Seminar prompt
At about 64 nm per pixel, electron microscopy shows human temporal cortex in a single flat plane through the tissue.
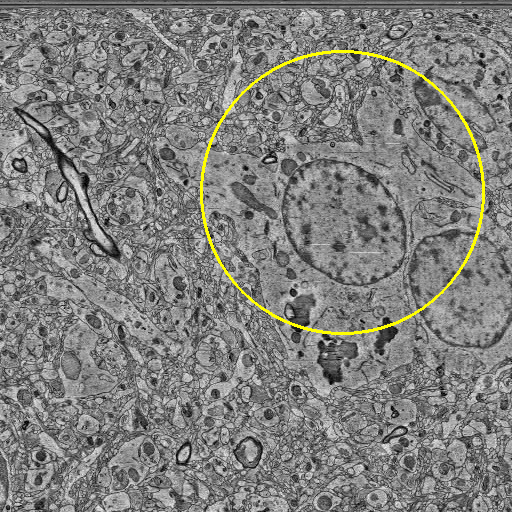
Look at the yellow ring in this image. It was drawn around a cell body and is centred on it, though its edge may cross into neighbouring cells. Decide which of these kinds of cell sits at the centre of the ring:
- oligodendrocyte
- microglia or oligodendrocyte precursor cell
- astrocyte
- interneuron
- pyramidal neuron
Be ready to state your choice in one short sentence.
The kind of cell at the ring's centre is an astrocyte.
